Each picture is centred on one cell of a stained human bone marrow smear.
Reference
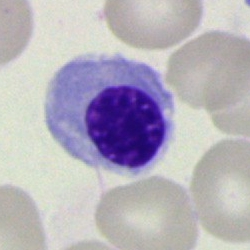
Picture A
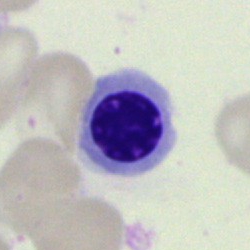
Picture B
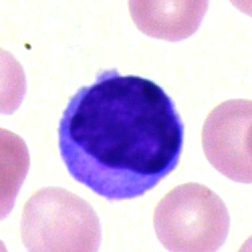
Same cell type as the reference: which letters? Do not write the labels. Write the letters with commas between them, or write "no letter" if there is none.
A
